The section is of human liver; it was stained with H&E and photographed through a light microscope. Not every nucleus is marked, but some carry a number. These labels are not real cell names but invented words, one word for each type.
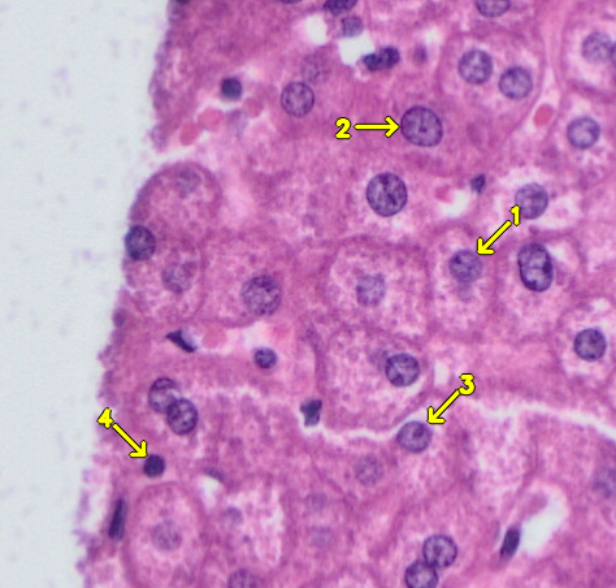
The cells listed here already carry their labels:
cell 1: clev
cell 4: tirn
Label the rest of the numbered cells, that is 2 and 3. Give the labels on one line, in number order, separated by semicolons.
clev; clev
